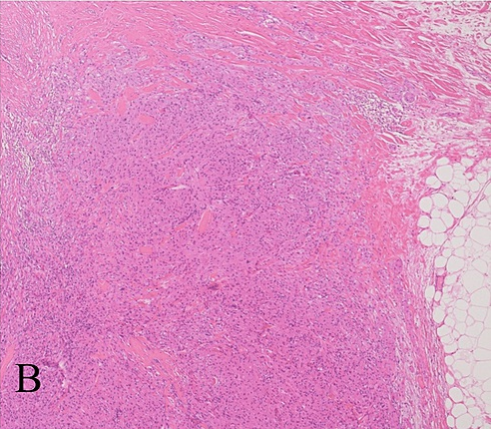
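A moderately cellular tumor made of pink polygonal cells arranged in sheets and infiltrating nests is seen at low power. The bulk of the tumor forms a pink, granular-looking field with scattered small dark nuclei. On the right the tumor borders adipose tissue, recognisable as large empty round fat cells with thin walls. The margin is irregular rather than encapsulated, with tumor cells extending between collagen bundles.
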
